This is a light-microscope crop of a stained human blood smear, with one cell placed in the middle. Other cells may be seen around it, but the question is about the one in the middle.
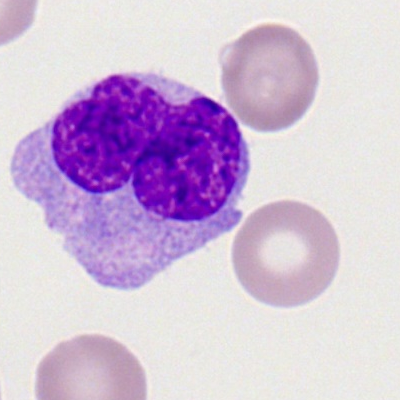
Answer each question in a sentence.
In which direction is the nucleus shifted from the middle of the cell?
The nucleus is pushed toward the upper right of the cell.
